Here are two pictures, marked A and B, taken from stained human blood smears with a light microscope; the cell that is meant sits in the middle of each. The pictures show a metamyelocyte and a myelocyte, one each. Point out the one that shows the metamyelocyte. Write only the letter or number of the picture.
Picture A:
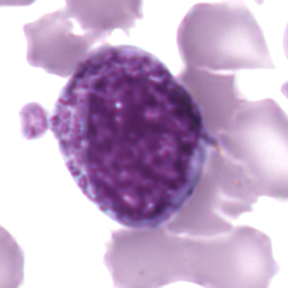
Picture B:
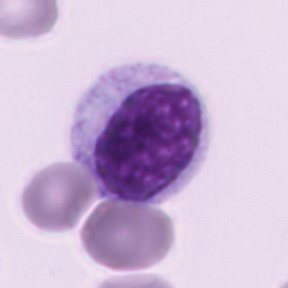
B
